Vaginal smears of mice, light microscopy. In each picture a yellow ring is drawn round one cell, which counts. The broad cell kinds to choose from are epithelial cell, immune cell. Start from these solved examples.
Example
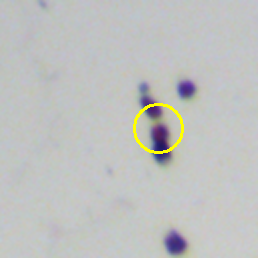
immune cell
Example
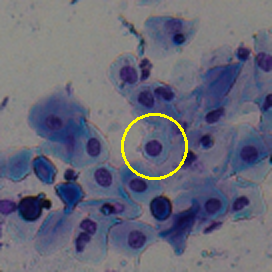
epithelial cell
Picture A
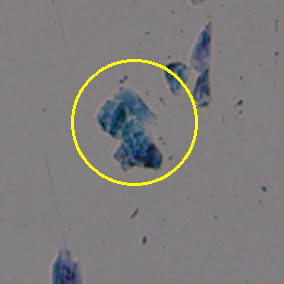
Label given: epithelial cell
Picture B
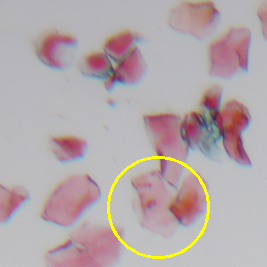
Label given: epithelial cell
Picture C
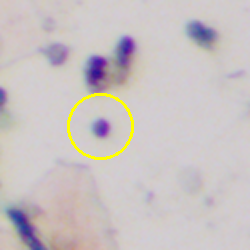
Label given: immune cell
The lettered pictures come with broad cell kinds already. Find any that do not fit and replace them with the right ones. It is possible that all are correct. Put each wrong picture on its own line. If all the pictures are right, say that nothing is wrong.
Nothing to fix; every label fits.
